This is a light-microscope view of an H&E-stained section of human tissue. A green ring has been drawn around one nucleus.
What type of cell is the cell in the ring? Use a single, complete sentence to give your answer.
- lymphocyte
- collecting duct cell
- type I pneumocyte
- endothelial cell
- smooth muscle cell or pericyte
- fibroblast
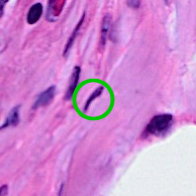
In this field of tissue, the cell in the ring is a fibroblast.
